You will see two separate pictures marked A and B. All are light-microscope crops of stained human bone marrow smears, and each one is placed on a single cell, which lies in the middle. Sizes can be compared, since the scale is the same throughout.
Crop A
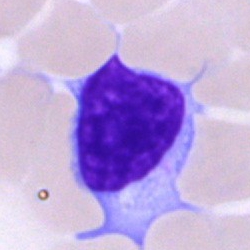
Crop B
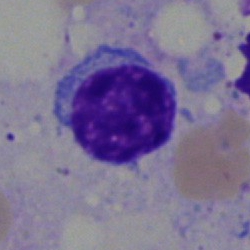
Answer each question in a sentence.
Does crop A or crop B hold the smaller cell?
Smaller is the cell in crop B, and the other is about 1.5 times as large in area.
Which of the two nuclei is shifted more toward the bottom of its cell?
In crop B the nucleus is shifted more toward the bottom.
